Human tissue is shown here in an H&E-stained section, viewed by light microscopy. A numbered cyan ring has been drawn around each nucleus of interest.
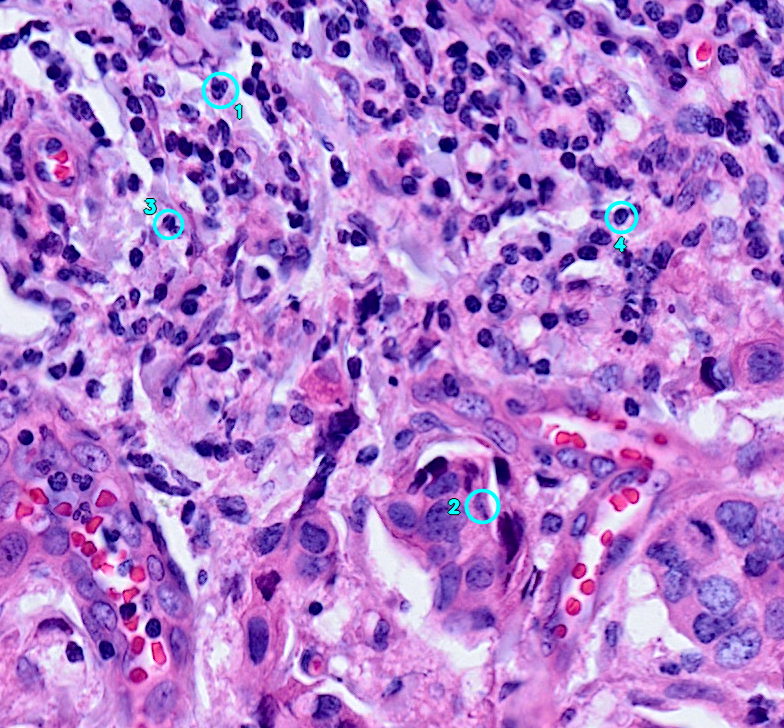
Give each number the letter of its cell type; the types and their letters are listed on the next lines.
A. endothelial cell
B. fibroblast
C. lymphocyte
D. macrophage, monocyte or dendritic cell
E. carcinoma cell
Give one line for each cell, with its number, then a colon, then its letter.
1: C
2: E
3: C
4: C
